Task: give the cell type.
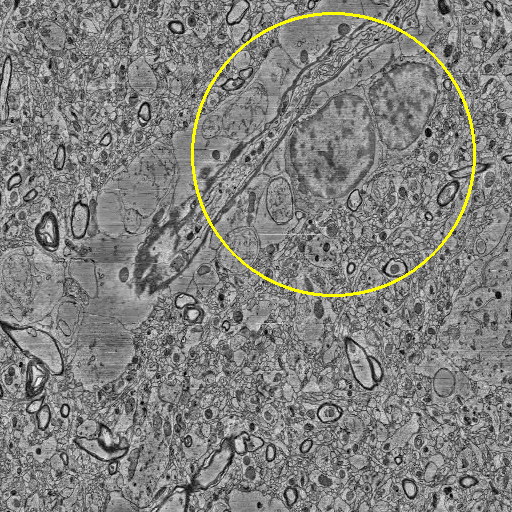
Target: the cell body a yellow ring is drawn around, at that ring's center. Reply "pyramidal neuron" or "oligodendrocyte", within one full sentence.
In this picture, the cell whose body lies at the ring's center is an oligodendrocyte.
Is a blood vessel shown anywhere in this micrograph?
Yes, one is visible.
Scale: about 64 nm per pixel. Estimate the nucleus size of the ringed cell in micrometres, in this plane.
The nucleus has a long axis of about 7 micrometres and a short axis of about 5 micrometres in this plane.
